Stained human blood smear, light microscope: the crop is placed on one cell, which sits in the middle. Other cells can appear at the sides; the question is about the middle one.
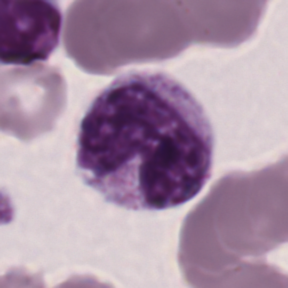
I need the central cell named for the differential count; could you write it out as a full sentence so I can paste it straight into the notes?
Here the centrally located cell is a metamyelocyte.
